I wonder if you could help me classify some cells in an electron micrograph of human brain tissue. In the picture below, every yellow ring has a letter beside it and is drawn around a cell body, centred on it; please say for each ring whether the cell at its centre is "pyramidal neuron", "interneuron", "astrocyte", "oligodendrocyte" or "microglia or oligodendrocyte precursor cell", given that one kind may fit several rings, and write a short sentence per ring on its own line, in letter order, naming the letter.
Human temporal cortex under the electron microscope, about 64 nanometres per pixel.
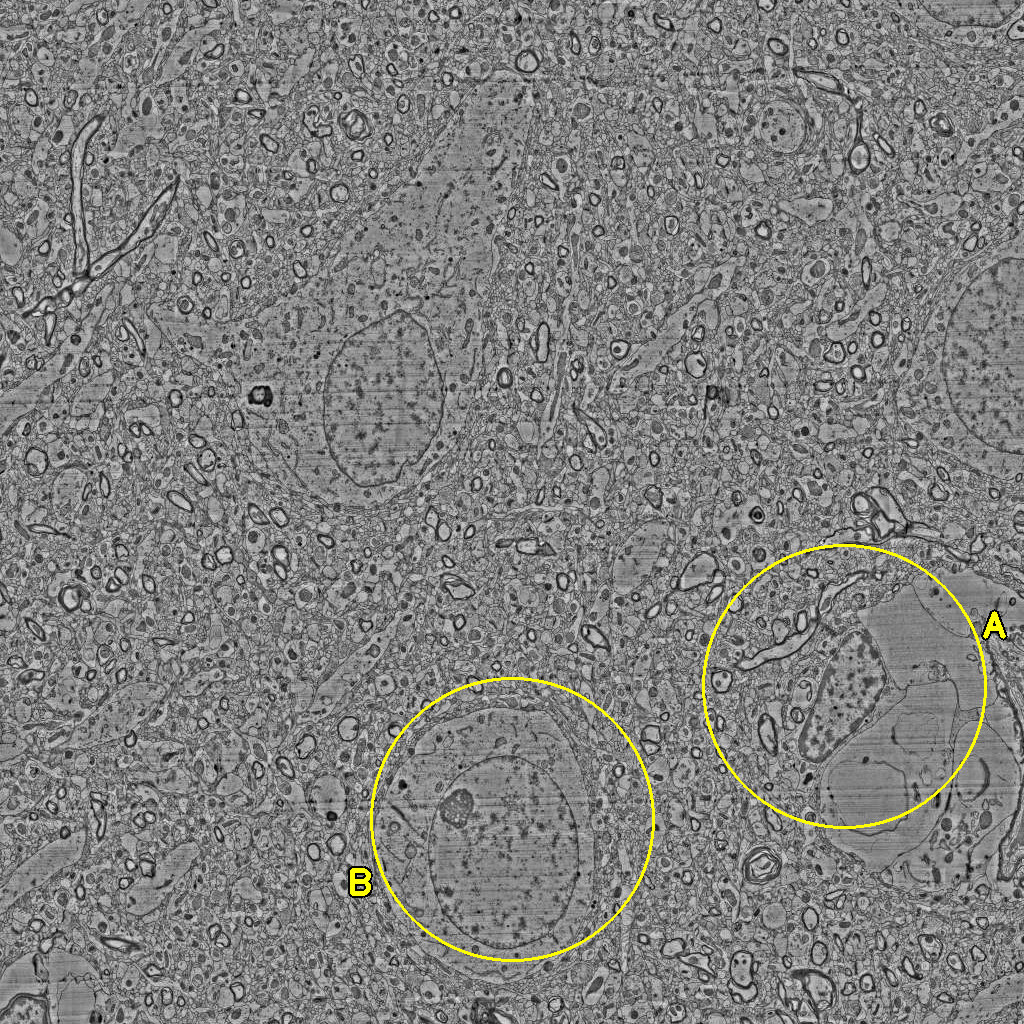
Centred in ring A is a microglial cell or oligodendrocyte precursor cell.
Centred in ring B is a pyramidal neuron.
